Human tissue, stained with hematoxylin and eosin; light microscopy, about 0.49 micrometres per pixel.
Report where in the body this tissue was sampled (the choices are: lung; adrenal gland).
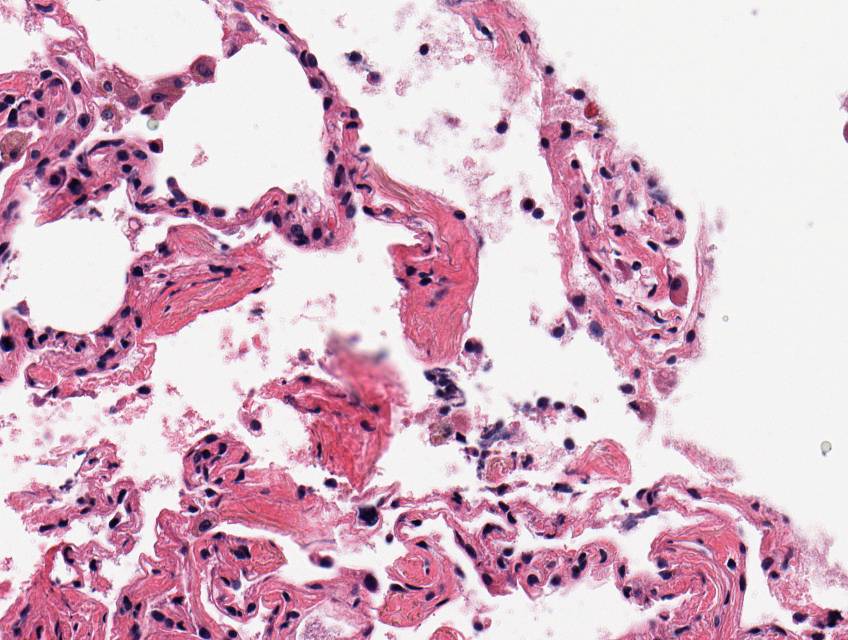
lung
